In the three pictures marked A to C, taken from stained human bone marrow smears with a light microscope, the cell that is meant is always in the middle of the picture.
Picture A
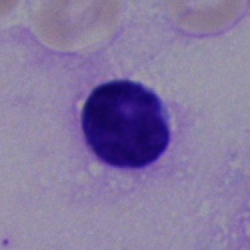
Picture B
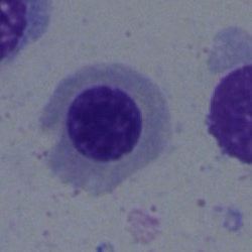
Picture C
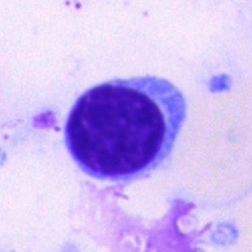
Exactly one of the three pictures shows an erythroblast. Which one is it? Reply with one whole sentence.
It is picture B that shows the erythroblast.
